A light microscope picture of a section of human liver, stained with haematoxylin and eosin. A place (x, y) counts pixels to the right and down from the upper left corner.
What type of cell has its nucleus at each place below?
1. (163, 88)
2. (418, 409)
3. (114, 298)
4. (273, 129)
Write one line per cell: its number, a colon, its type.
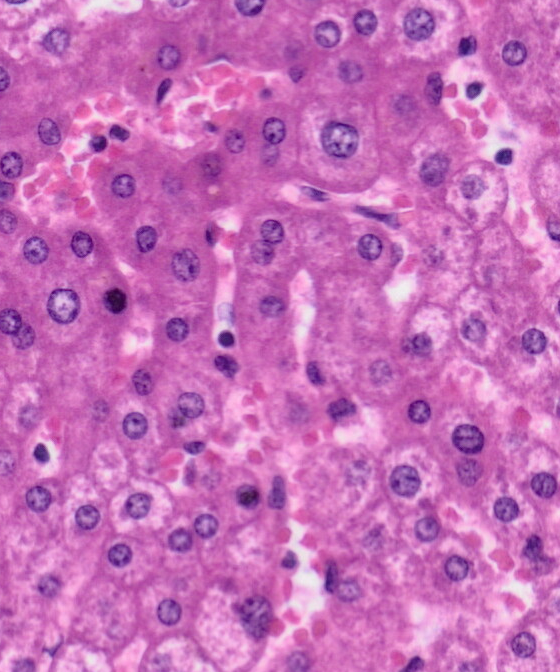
1: fibroblast or stellate cell
2: hepatocyte
3: hepatocyte
4: hepatocyte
